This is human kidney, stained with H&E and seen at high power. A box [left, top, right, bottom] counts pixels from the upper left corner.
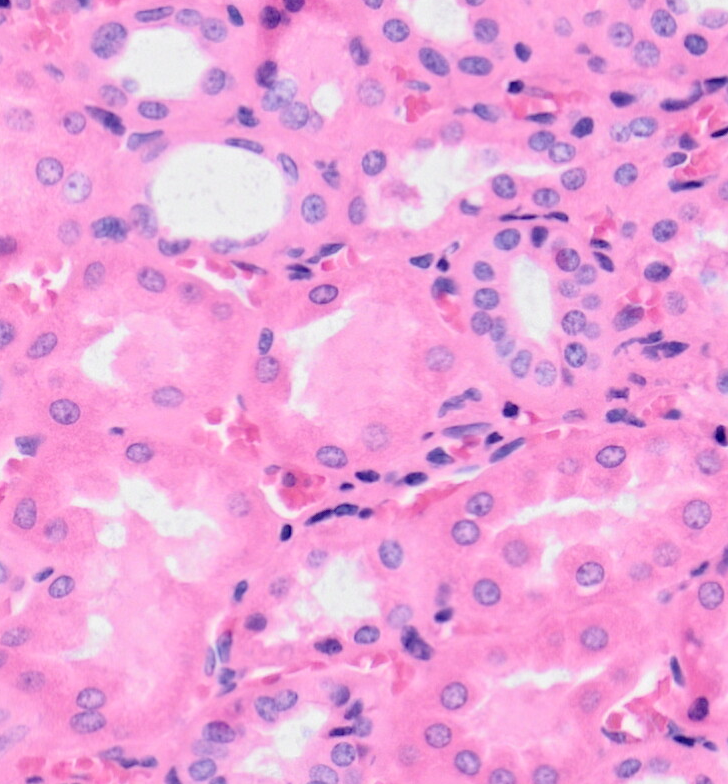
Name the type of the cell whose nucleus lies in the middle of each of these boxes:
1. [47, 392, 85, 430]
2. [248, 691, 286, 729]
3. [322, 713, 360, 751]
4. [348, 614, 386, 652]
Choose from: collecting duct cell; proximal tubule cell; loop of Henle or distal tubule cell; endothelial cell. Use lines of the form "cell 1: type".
cell 1: proximal tubule cell
cell 2: collecting duct cell
cell 3: collecting duct cell
cell 4: loop of Henle or distal tubule cell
